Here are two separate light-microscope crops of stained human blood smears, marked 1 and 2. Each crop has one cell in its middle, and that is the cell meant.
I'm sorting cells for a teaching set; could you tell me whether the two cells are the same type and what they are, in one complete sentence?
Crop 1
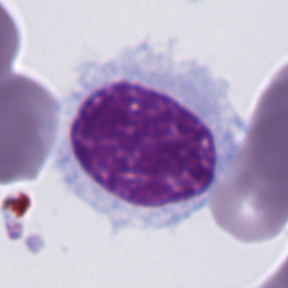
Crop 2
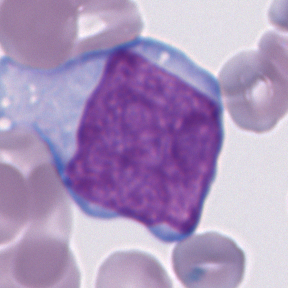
No, crop 1 shows a hairy cell, whereas in crop 2 the cell is a myeloblast.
